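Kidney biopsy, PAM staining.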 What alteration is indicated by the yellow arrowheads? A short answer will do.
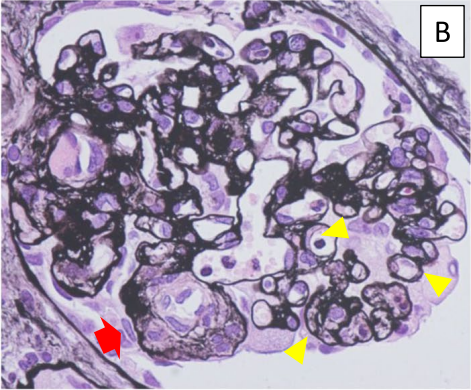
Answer: Double contours of the glomerular basement membrane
